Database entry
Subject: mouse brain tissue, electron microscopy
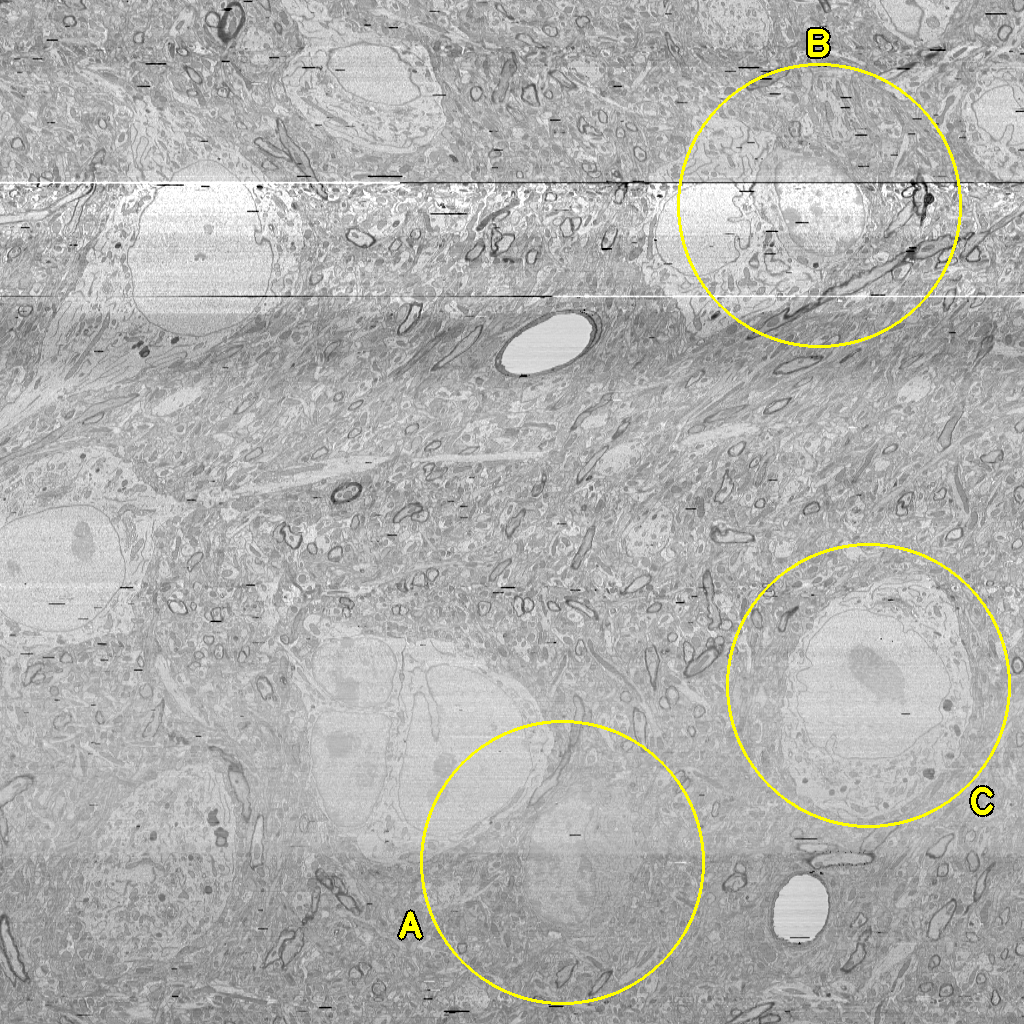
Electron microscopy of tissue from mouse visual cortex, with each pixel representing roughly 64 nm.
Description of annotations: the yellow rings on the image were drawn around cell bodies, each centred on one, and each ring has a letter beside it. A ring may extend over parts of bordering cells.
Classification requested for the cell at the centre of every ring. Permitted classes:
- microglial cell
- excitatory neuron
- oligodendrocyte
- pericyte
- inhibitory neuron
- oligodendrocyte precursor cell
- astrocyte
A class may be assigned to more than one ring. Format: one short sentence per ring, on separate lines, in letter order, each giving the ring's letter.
The cell body at the centre of ring A is an oligodendrocyte.
The cell body at the centre of ring B is an oligodendrocyte.
The cell body at the centre of ring C is an excitatory neuron.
